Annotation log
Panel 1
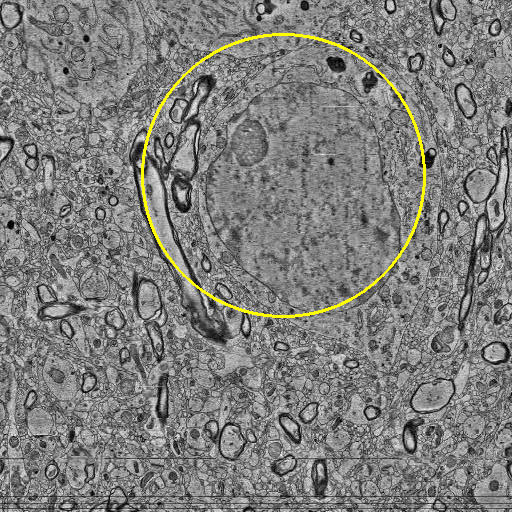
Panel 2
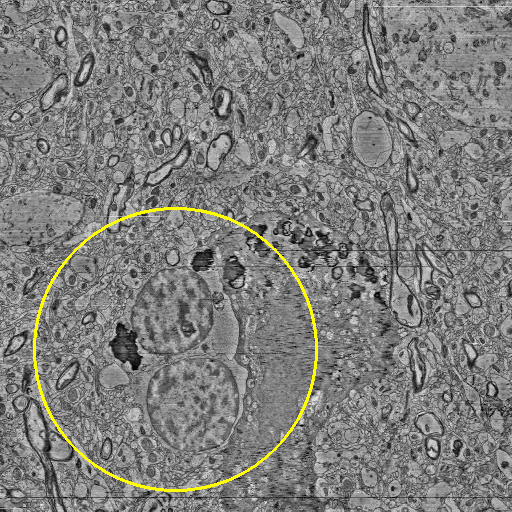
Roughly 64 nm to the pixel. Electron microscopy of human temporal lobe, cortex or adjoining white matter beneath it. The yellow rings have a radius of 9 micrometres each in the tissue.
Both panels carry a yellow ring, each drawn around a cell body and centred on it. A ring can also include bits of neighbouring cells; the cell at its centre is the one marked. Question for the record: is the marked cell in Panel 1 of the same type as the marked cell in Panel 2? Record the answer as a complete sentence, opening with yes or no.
No, the marked cells in Panel 1 and Panel 2 are of two types.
